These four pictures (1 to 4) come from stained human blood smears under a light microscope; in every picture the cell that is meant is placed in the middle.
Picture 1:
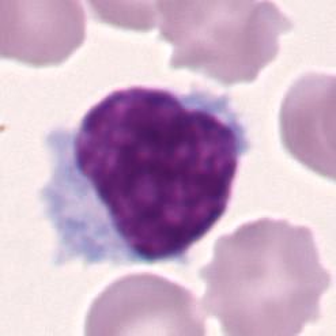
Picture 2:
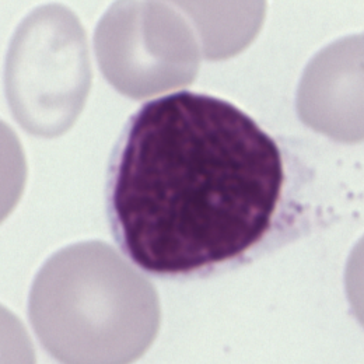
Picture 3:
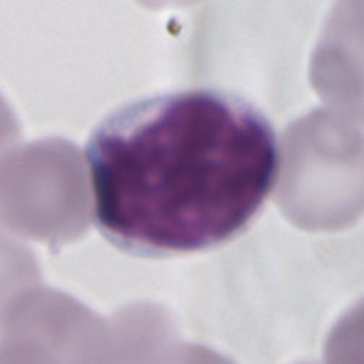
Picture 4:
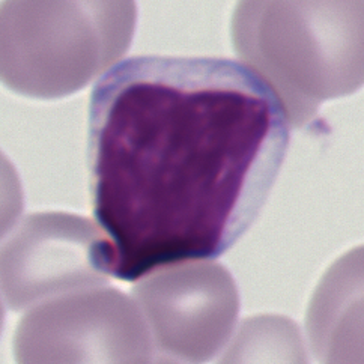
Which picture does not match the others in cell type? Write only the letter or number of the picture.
1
